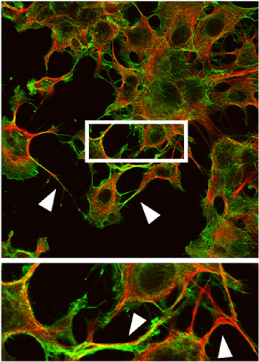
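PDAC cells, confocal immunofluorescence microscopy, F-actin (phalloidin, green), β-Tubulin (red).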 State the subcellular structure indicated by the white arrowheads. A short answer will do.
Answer: Peripheral protrusions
